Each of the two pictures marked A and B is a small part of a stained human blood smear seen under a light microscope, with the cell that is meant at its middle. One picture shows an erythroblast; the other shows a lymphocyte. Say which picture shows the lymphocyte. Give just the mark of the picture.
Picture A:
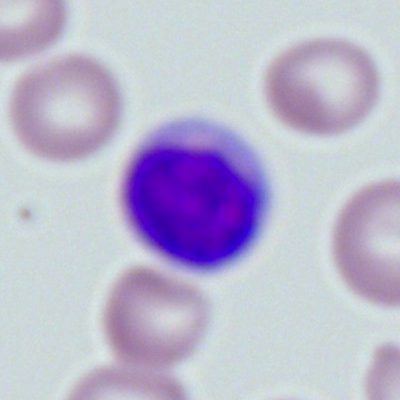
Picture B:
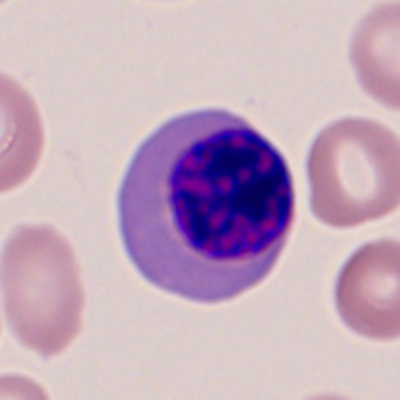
A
